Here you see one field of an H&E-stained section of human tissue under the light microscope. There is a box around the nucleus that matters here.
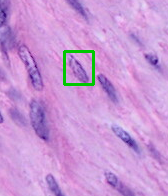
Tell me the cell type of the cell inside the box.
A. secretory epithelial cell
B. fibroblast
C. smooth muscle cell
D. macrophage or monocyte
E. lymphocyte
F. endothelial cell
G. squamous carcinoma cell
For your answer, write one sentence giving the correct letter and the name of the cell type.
What option C states, that the cell inside the box is a smooth muscle cell, is correct.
